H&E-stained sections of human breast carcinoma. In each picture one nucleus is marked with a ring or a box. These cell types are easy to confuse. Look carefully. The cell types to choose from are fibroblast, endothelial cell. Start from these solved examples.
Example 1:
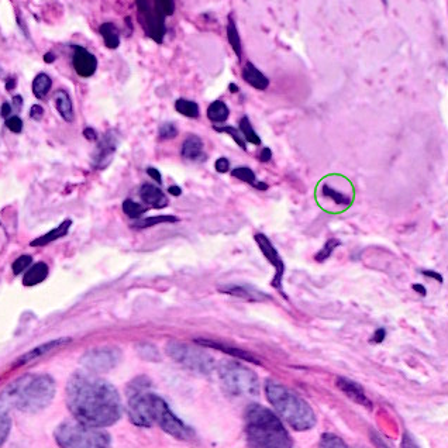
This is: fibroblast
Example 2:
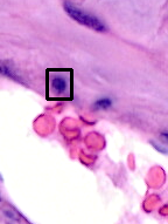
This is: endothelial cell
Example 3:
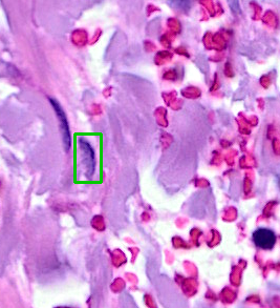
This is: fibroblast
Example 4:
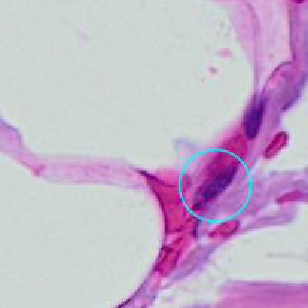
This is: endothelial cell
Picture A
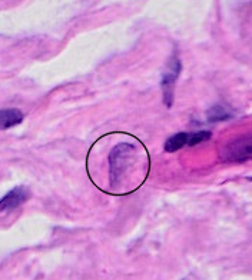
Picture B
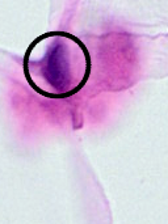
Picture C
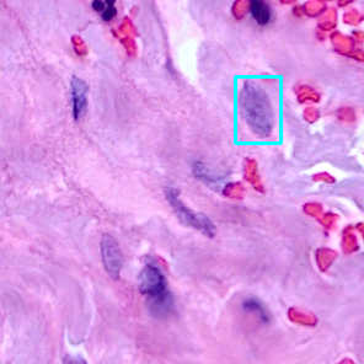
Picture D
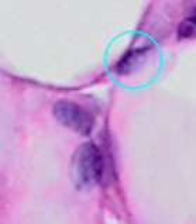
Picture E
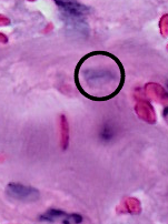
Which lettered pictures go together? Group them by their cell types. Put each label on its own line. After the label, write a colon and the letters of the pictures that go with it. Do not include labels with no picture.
fibroblast: A, B, C, D, E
